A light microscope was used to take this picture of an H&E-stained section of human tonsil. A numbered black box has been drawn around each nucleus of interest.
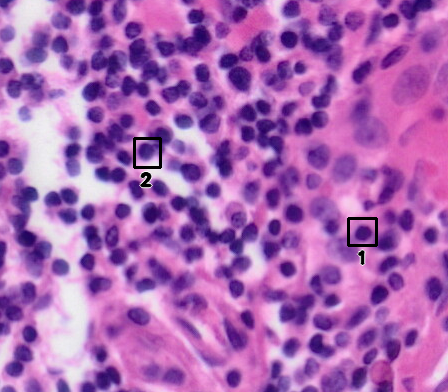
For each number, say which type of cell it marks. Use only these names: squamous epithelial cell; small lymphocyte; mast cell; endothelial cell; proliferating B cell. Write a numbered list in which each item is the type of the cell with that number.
1. endothelial cell
2. small lymphocyte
